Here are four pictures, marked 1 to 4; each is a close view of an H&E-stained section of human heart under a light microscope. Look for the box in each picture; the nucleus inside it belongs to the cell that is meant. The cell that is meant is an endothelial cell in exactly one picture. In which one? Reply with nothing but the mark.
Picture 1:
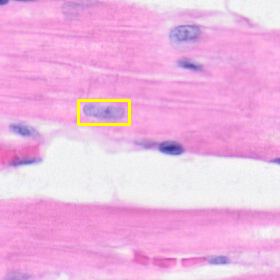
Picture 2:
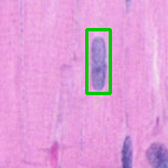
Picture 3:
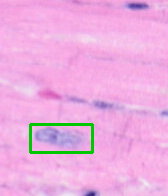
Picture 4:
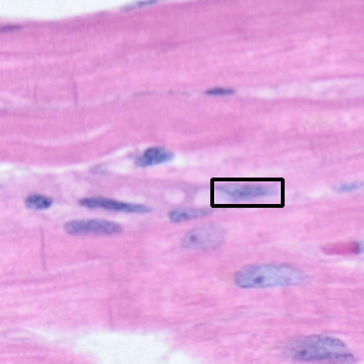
4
